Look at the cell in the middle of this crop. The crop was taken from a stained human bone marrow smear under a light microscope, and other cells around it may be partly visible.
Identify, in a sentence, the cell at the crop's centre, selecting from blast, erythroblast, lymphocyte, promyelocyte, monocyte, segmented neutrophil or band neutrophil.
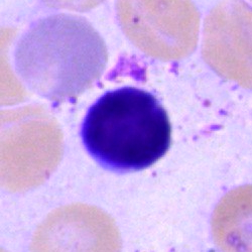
The cell at the heart of this crop is a lymphocyte.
